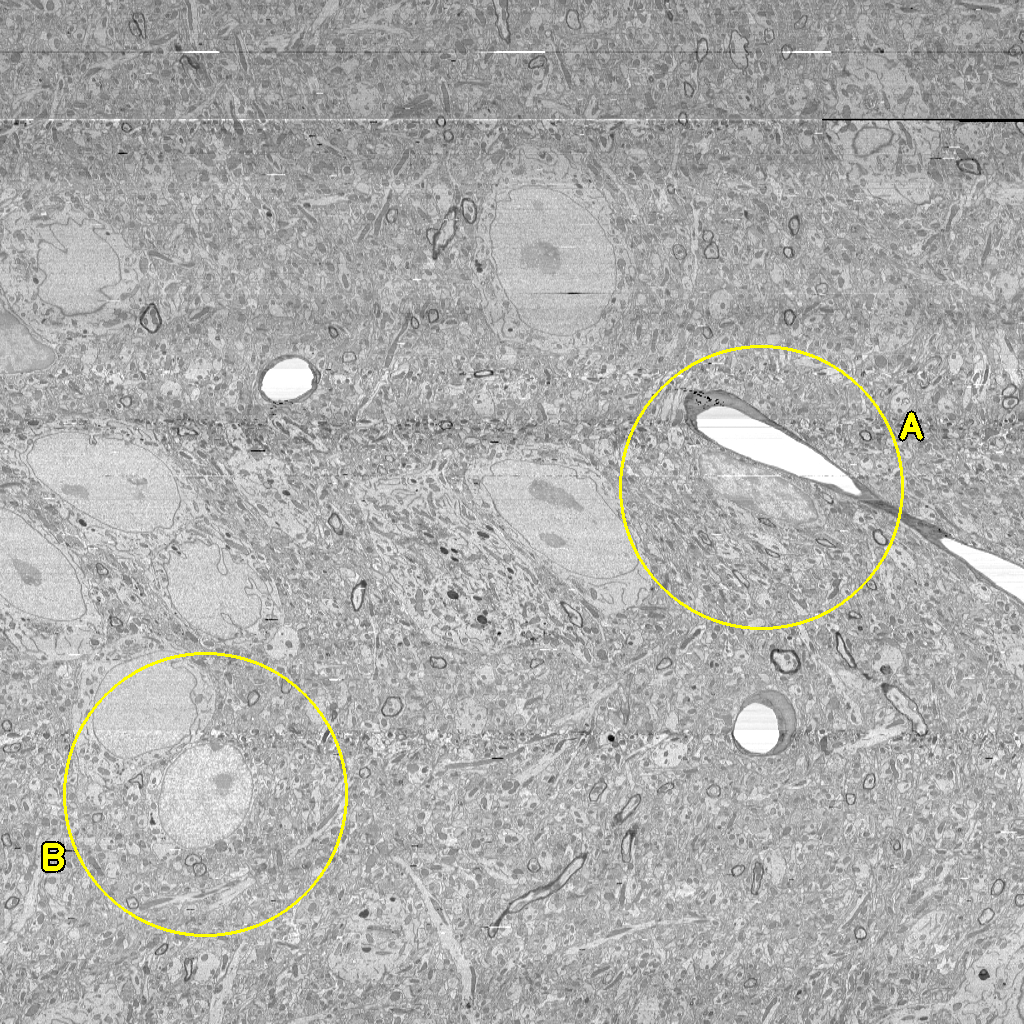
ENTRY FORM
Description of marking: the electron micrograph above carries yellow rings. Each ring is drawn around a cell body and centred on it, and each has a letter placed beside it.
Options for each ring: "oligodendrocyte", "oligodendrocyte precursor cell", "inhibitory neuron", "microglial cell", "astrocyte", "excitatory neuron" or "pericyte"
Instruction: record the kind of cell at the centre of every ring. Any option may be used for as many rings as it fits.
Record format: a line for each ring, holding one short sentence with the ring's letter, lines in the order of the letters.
Ring A surrounds the cell body of an oligodendrocyte.
Ring B surrounds the cell body of an astrocyte.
